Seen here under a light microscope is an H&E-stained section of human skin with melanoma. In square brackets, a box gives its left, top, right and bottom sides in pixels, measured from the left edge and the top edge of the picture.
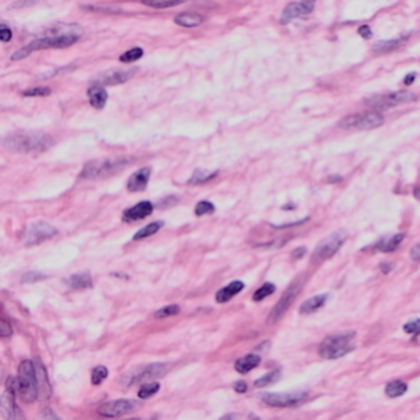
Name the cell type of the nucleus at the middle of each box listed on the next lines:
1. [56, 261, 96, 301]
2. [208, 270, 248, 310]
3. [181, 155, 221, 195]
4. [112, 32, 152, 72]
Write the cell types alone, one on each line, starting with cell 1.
fibroblast or myofibroblast
lymphocyte
fibroblast or myofibroblast
lymphocyte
